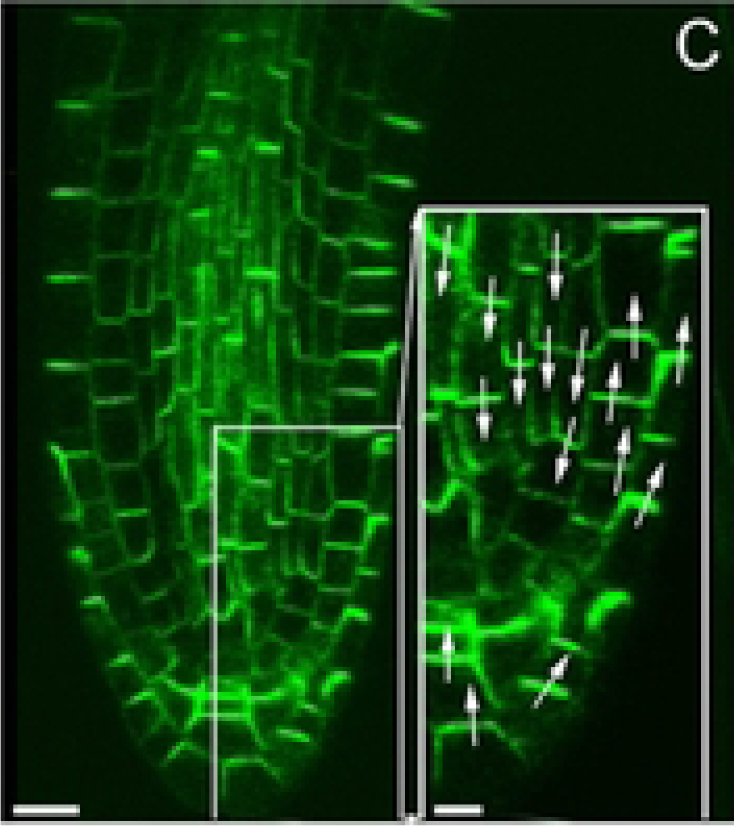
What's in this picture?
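This is a root tip imaged deeper, through the internal tissues, with cell outlines lit in green. The cells sit in long files, narrow and elongated in the centre and wider toward the flanks and the tip. The green is not even around each cell but is brightest on one end wall, so many cells carry a bright bar on the side facing up or down the root. In the enlarged box the arrows show these bright sides, some pointing toward the tip and some away from it. The cell interiors are dark, with little signal inside.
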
